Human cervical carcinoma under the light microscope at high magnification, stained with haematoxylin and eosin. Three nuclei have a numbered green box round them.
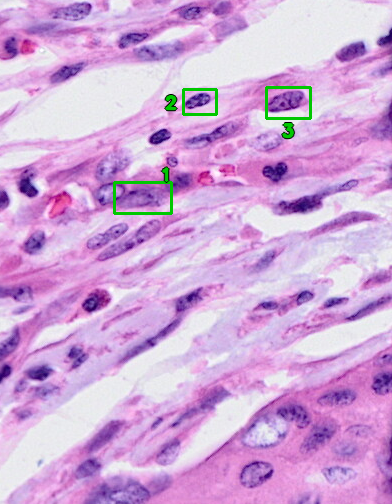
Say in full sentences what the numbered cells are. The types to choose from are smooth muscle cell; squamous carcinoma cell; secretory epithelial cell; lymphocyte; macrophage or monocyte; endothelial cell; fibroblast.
Cell 1 is an endothelial cell, cell 2 is a lymphocyte and cell 3 is a macrophage or monocyte.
